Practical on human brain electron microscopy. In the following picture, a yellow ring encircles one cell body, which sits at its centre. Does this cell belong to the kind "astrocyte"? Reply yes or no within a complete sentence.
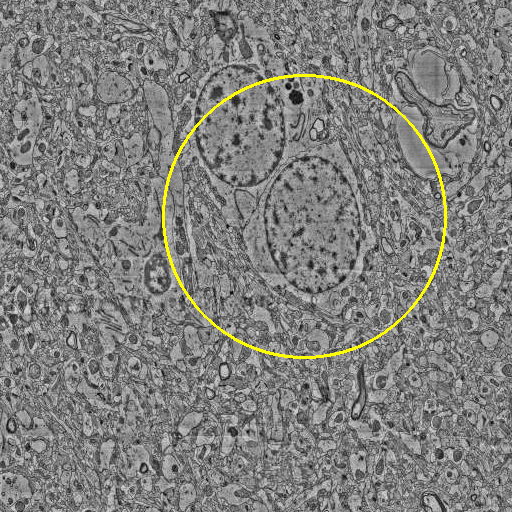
Yes, the one cell at the centre of the ring here is of that kind.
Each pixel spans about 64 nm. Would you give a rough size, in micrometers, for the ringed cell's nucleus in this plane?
The ringed cell's nucleus measures approximately 9 by 6 micrometres in this plane.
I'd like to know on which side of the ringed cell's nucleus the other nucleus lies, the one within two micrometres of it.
The other nucleus is situated to the upper left of it.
